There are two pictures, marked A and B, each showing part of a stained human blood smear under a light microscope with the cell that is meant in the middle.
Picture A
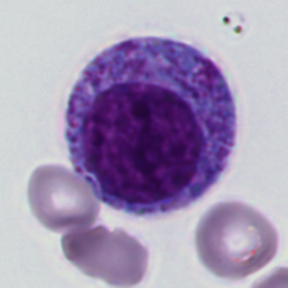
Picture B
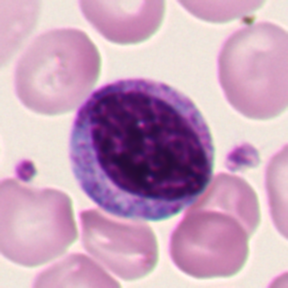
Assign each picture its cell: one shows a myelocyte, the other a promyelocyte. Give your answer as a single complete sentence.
Picture A shows a promyelocyte and picture B shows a myelocyte.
